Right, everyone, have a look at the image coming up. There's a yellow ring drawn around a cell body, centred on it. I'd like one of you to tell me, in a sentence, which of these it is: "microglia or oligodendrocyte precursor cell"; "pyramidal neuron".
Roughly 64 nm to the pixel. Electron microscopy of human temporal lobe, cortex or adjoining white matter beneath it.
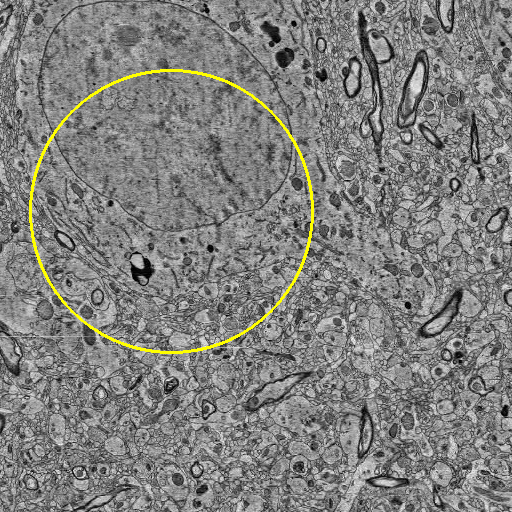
The yellow ring sits on a pyramidal neuron.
